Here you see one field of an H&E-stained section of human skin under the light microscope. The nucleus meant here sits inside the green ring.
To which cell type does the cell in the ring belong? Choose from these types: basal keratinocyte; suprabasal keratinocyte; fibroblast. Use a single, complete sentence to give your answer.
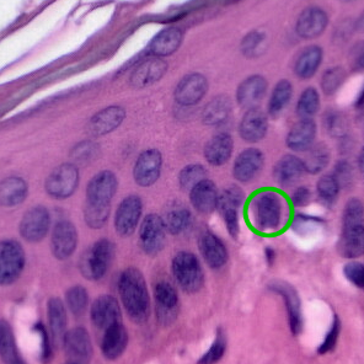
Among the cells in this section, the cell in the ring is a basal keratinocyte.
